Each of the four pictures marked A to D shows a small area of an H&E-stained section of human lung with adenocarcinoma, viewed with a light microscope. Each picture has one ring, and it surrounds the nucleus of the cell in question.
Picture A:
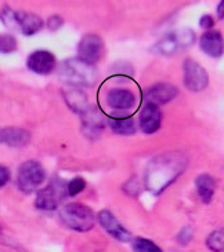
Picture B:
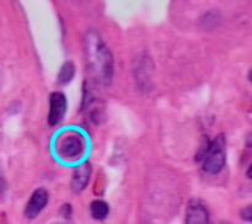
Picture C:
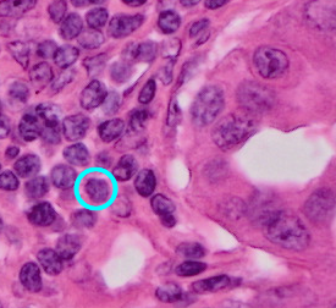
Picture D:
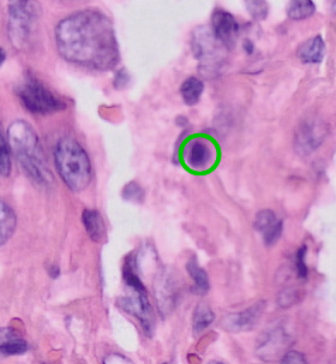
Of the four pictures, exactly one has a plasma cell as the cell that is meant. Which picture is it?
D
